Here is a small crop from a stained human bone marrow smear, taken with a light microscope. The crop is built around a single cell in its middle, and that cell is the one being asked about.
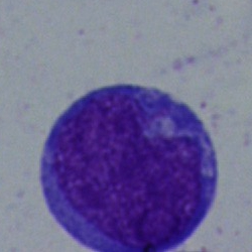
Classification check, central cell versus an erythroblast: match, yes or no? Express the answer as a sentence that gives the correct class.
No, the cell placed in the centre is a blast and is not an erythroblast.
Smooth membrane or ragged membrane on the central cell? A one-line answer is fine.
From every side, the cell boundary is smooth and free of projections.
